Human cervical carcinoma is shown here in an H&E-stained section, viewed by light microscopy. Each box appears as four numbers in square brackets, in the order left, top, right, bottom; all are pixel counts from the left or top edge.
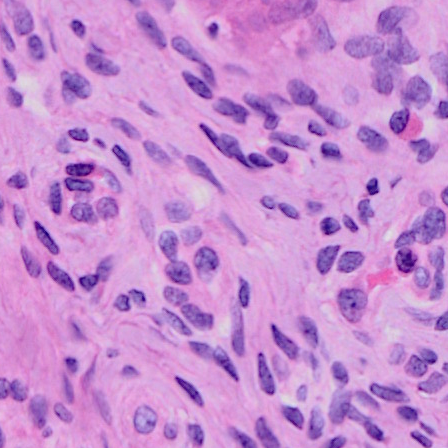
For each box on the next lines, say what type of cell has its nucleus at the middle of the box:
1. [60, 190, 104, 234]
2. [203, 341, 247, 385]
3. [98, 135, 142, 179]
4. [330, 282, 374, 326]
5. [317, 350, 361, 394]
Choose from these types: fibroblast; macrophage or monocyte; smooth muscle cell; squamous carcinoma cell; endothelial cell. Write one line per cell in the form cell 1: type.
cell 1: endothelial cell
cell 2: fibroblast
cell 3: fibroblast
cell 4: endothelial cell
cell 5: fibroblast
